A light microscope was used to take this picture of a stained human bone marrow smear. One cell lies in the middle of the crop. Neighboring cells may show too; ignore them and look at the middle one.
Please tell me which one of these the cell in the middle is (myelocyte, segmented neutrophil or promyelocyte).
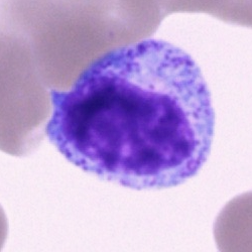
myelocyte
